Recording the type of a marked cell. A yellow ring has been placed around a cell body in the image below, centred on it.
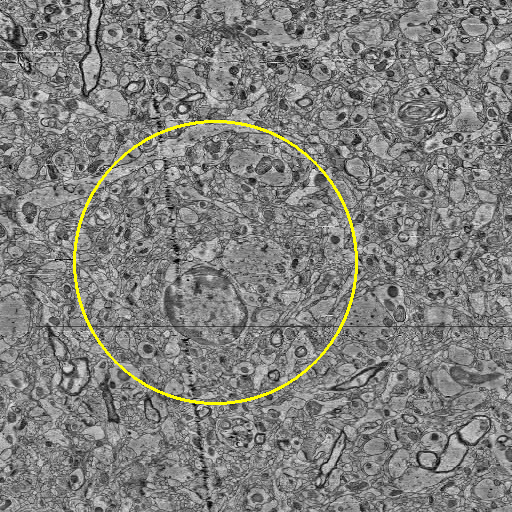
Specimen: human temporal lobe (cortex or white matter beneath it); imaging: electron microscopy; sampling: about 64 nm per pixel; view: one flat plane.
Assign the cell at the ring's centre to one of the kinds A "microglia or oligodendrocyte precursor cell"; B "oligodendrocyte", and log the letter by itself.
A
